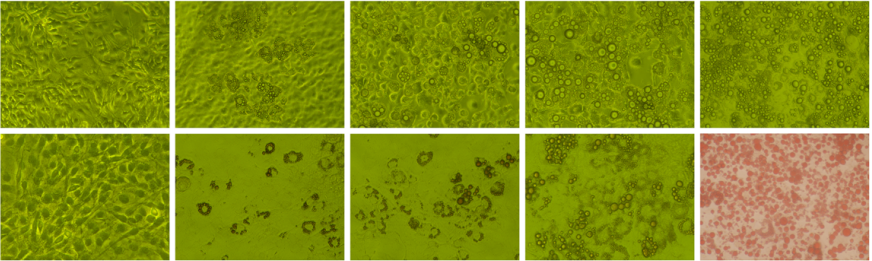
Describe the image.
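At the left the cells are flat and spindle-shaped, lying close together like fibroblasts, with no droplets in them. Going rightward the cells round up and fill with small, round, refractile droplets that grow in number and size until they crowd the field. In the last stained image the droplet-filled cells are colored red throughout.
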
